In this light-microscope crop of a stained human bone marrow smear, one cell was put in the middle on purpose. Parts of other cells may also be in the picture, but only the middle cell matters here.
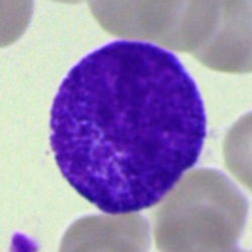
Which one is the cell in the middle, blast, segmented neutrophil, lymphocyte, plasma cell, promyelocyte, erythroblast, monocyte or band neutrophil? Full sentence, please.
The central cell in this smear crop is a promyelocyte.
